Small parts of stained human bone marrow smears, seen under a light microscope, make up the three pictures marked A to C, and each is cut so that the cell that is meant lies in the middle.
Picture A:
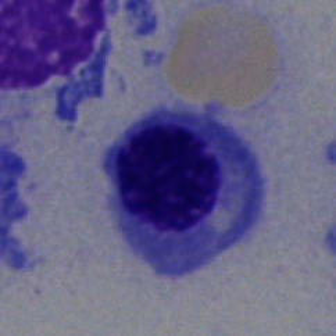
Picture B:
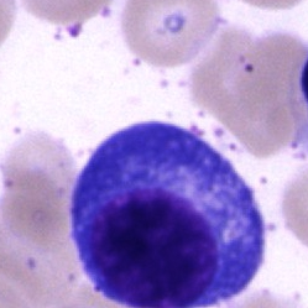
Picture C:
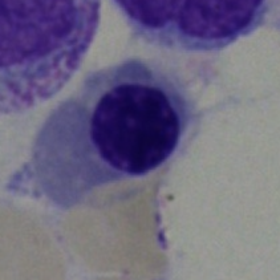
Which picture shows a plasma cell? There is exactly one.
B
